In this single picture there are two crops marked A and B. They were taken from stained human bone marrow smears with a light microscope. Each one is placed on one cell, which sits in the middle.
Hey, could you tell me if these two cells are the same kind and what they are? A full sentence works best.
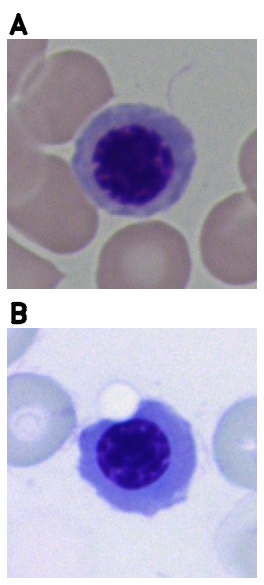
Yes, both crops show erythroblasts, and that holds for each one.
